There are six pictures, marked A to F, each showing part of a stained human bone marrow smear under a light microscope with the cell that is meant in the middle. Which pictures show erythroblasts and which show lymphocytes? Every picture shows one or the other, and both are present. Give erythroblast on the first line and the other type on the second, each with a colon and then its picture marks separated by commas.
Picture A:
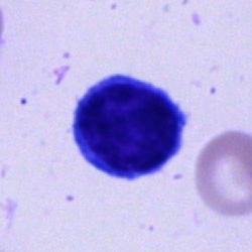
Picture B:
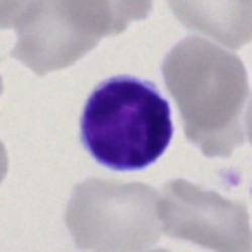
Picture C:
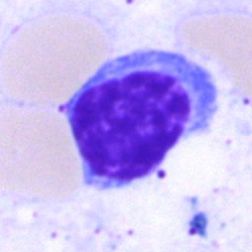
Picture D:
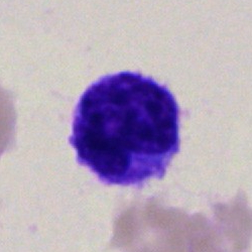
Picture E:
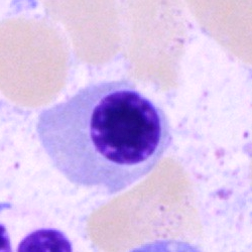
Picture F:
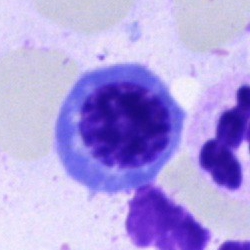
erythroblast: E, F
lymphocyte: A, B, C, D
